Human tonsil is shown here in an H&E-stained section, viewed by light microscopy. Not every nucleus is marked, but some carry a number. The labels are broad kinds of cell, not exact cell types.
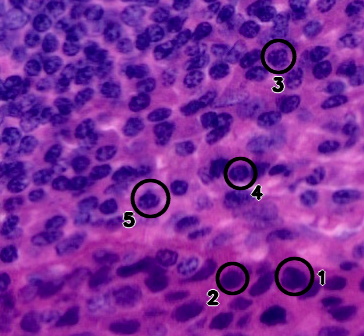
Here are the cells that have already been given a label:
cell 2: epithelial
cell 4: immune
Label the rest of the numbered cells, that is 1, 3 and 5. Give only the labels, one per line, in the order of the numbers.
epithelial
immune
immune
